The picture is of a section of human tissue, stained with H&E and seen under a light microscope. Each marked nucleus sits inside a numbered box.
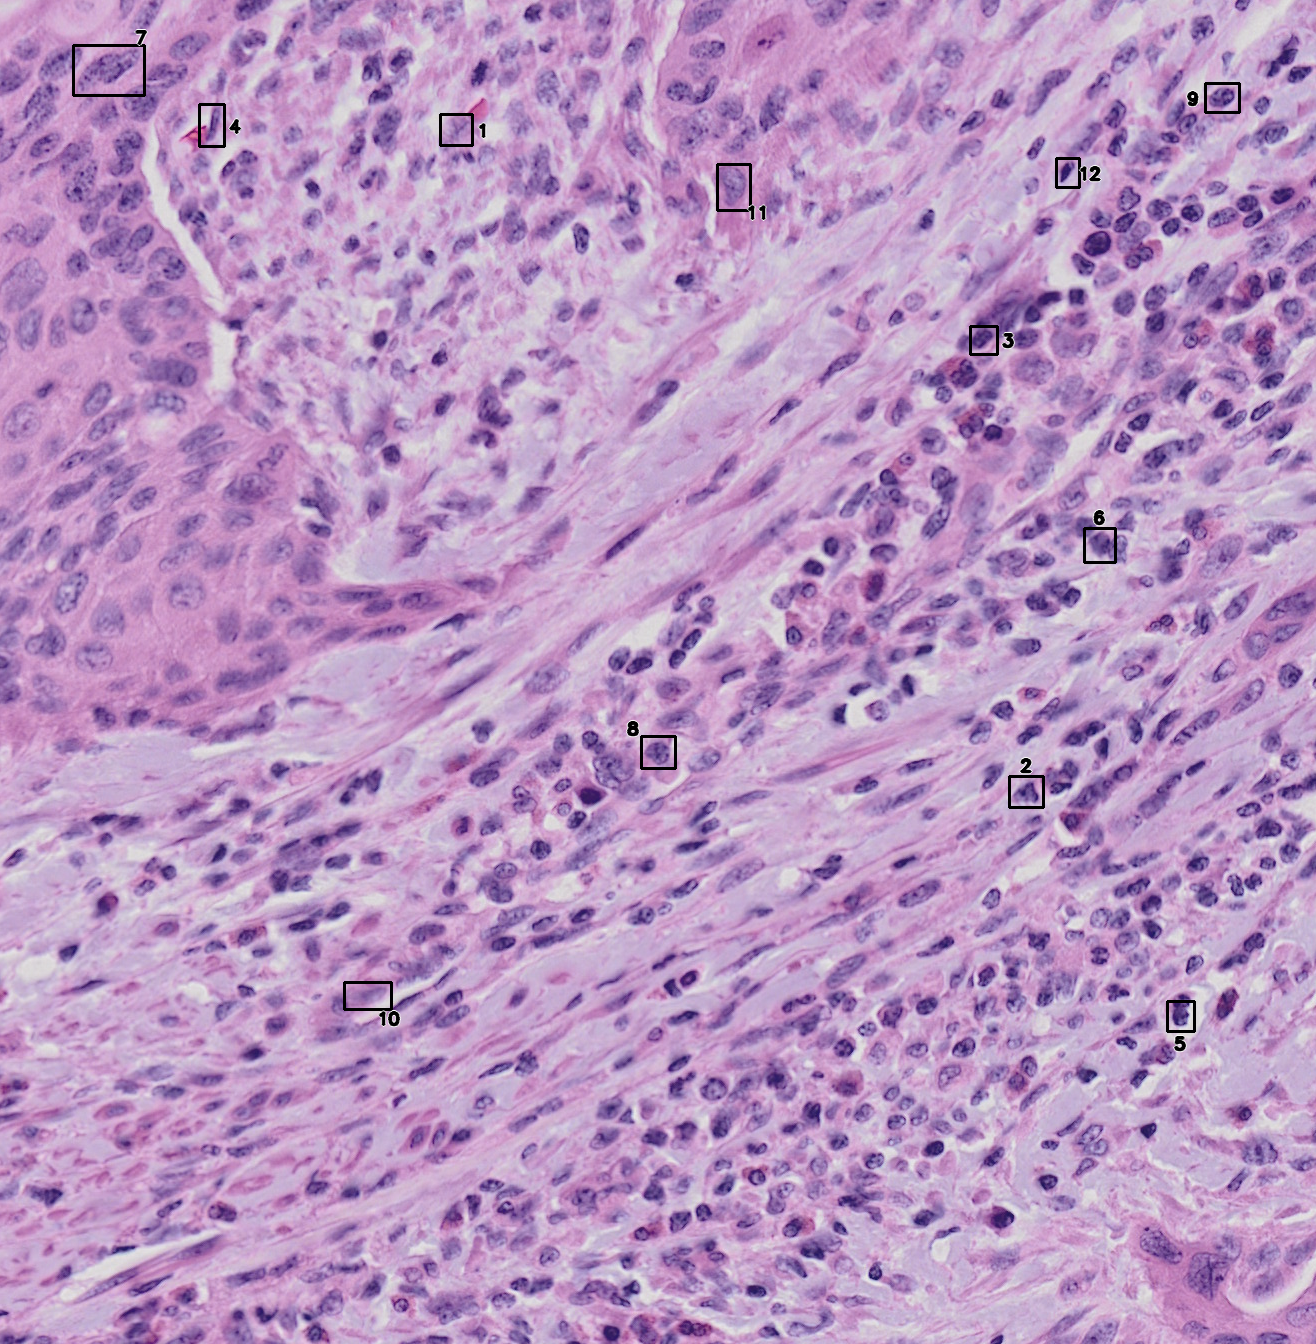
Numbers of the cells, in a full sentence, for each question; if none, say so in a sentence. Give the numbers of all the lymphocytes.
The cells numbered 2, 3, 5, 6, 8, 9 and 12 are, by type, lymphocytes.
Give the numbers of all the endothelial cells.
In this section, the cells labelled 1, 4 and 10 are endothelial cells.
